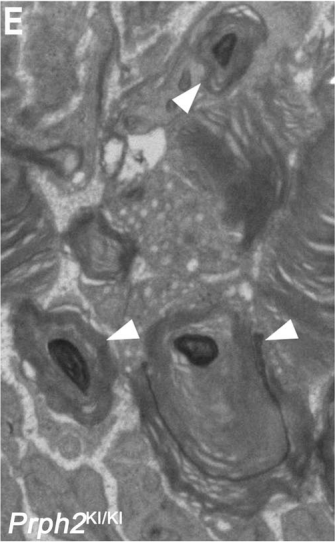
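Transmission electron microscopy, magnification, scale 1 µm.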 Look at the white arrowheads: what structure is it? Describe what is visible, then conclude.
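Oval whorls of membranes layered in concentric rings. Dark dense centres within the whorls.
Concentric membranous circles.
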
